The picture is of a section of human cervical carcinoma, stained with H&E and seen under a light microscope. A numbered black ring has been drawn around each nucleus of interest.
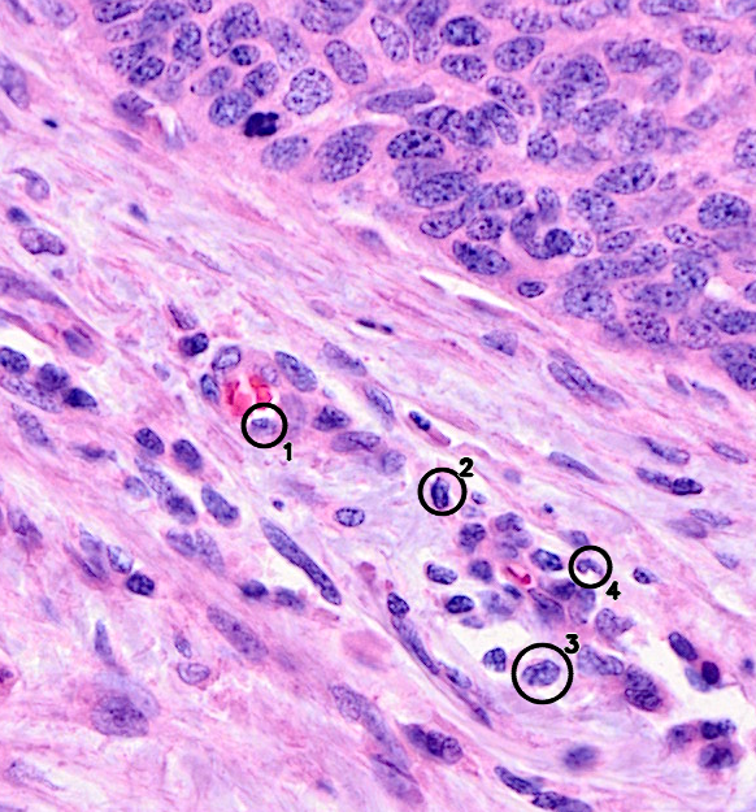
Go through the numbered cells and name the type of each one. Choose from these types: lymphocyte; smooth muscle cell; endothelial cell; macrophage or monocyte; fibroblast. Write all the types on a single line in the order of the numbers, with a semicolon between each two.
endothelial cell; lymphocyte; lymphocyte; lymphocyte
